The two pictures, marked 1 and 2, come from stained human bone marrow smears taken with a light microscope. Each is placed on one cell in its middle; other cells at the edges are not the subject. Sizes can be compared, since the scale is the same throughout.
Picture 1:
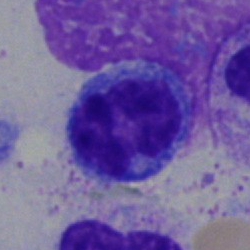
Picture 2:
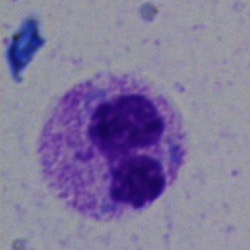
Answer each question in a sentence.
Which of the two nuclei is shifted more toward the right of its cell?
The nucleus in picture 2 lies further toward the right of its cell.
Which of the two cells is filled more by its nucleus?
In picture 1 the nucleus takes up the larger part of its cell.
